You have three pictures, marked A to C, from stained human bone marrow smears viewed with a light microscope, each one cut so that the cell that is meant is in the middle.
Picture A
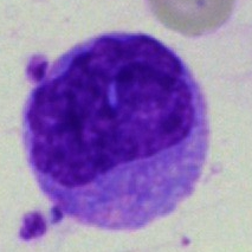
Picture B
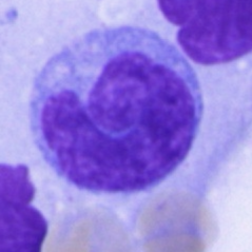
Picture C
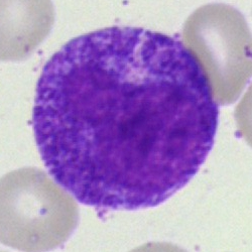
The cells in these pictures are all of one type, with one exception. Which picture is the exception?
C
